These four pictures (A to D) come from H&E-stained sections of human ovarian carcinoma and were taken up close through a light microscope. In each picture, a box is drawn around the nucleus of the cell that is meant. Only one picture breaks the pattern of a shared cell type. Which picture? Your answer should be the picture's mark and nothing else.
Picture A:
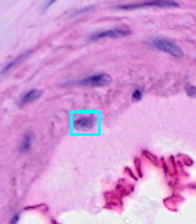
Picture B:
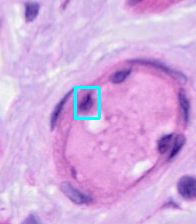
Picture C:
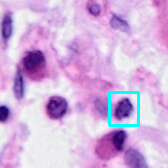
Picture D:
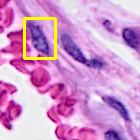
C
